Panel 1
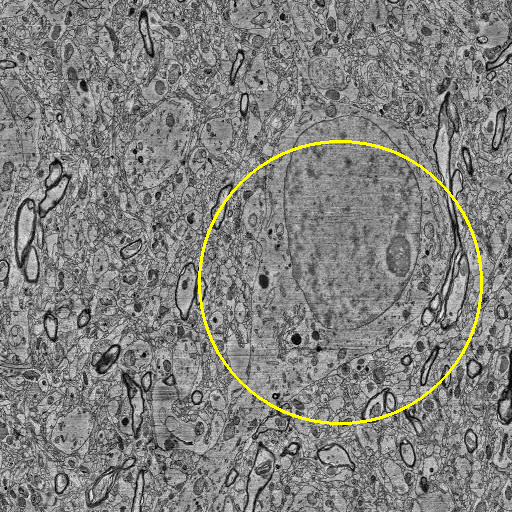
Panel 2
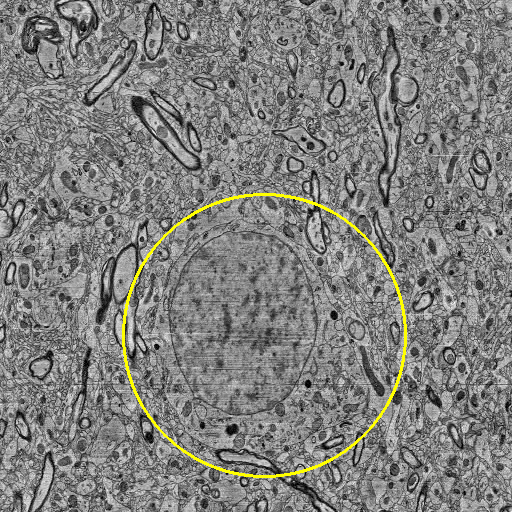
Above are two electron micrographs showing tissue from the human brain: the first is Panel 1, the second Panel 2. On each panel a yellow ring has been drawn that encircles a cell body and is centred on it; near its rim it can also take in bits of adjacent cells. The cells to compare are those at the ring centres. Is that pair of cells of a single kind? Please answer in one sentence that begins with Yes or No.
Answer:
Yes, the ring-centred cells of Panel 1 and Panel 2 belong to one kind.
